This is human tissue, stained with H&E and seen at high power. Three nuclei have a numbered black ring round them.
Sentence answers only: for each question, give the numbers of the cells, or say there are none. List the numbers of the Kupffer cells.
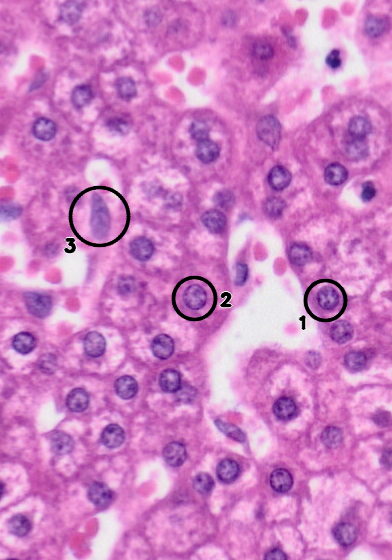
Among the numbered cells, the one that is a Kupffer cell is cell 3 alone.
